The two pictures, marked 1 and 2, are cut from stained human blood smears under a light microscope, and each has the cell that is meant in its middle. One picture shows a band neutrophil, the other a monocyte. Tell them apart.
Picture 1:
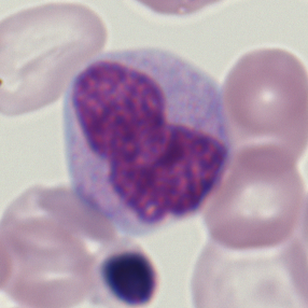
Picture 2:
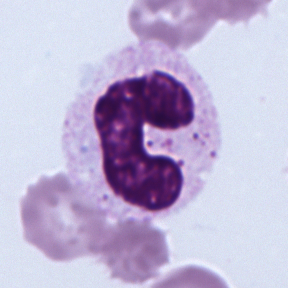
1: monocyte
2: band neutrophil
